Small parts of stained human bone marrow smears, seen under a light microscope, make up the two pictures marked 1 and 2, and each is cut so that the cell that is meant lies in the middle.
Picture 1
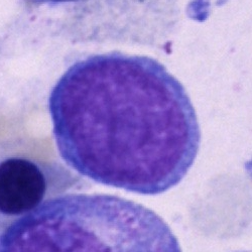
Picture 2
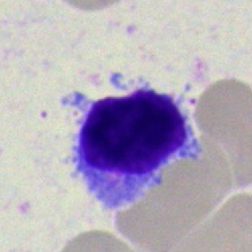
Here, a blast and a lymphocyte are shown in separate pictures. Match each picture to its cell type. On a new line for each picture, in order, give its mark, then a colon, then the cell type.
1: blast
2: lymphocyte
